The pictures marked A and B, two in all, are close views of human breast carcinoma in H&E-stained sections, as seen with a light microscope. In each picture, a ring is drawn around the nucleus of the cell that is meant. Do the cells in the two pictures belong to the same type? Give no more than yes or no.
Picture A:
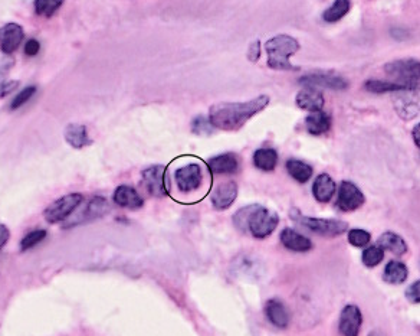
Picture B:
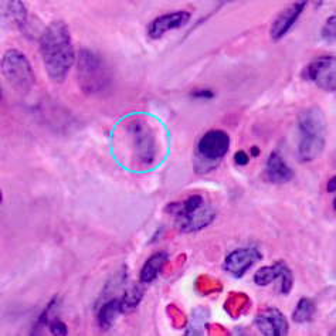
no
